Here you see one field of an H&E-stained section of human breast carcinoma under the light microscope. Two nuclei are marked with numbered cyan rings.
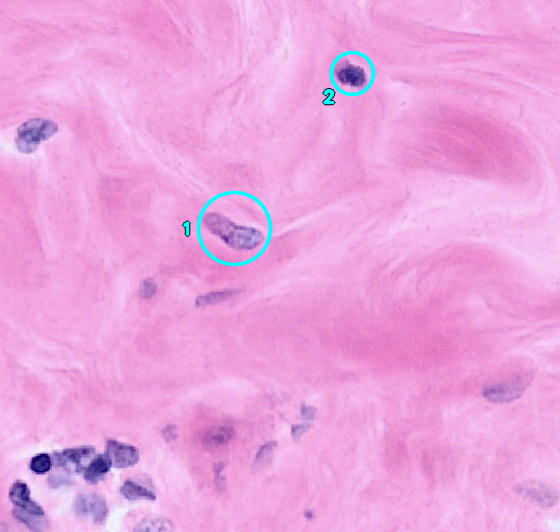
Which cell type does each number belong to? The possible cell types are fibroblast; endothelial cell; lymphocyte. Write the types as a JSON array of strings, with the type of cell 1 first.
["fibroblast", "lymphocyte"]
